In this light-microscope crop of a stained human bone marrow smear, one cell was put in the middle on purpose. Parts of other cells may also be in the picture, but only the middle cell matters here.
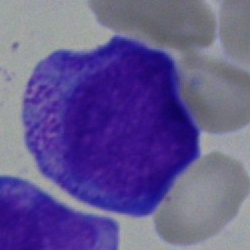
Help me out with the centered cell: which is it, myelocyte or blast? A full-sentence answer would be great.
The cell at the middle of the frame should be recorded as a blast.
